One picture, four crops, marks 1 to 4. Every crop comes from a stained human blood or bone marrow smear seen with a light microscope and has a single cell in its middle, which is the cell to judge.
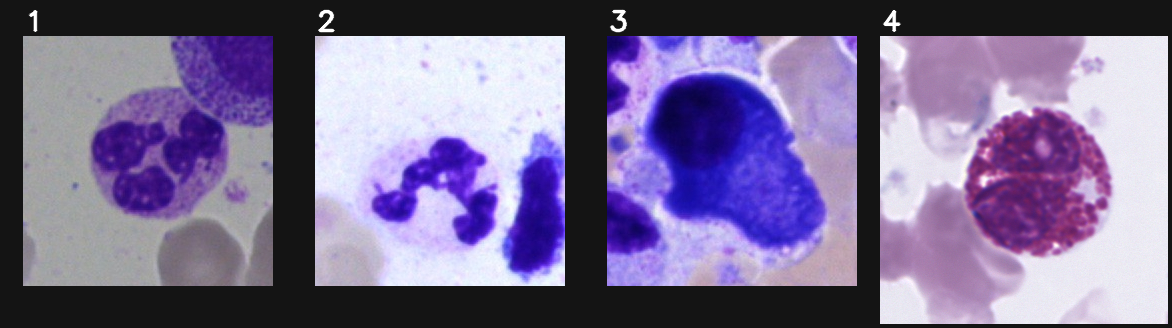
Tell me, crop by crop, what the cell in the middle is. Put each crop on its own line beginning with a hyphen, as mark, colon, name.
- 1: segmented neutrophil
- 2: segmented neutrophil
- 3: plasma cell
- 4: eosinophil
